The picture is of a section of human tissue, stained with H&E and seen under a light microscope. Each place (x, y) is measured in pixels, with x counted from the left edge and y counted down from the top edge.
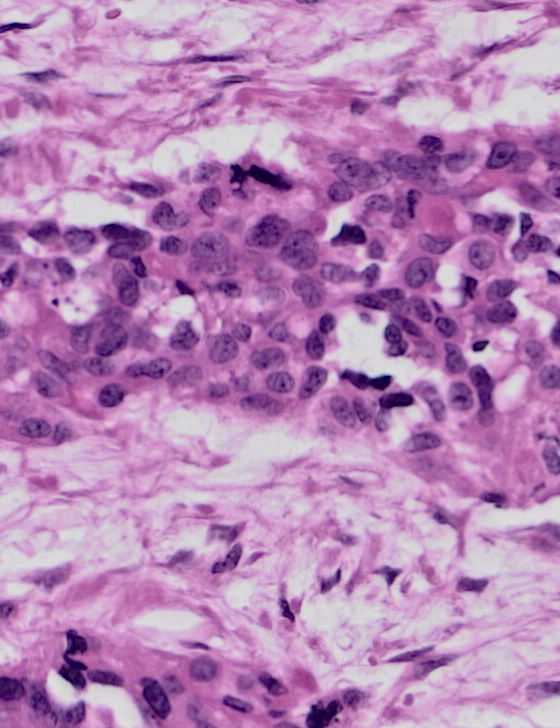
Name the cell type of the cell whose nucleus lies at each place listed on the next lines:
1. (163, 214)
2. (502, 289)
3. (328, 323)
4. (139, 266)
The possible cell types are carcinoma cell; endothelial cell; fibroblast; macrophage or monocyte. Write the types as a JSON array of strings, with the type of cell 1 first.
["macrophage or monocyte", "carcinoma cell", "carcinoma cell", "carcinoma cell"]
